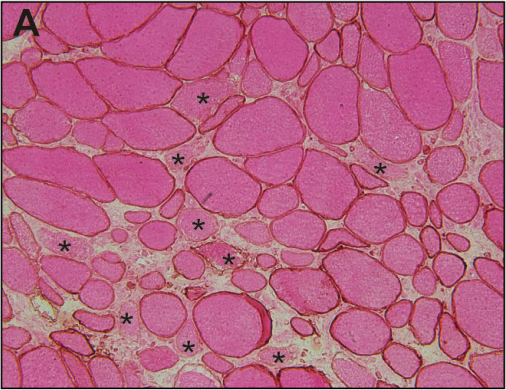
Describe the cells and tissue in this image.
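Cross-section of skeletal muscle showing rounded muscle fibers of widely varying size, their cytoplasm stained pink and each rimmed by a thin dark red outline. Between fibers the interstitium is widened in places and pale greenish-yellow, giving a loose, uneven pattern. Within these widened areas lie small, pale, irregular fibers with faint or broken outlines, marked by asterisks, unlike the large evenly stained fibers around them. Some small fibers cluster together between larger ones. The overall architecture is disordered, with variation in fiber size and patchy interstitial expansion.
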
